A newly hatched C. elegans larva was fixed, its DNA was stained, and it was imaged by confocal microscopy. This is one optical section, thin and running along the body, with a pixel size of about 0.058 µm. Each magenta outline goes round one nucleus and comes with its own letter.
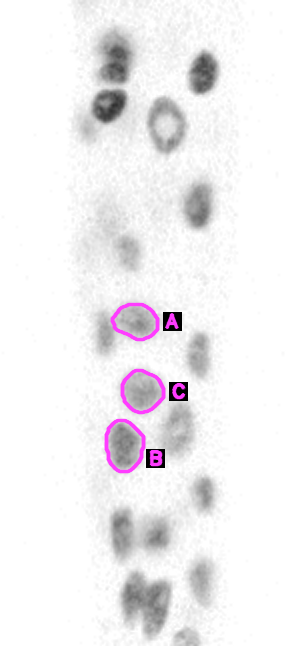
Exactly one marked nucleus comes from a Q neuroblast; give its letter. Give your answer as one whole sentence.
The one from a Q neuroblast is A.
